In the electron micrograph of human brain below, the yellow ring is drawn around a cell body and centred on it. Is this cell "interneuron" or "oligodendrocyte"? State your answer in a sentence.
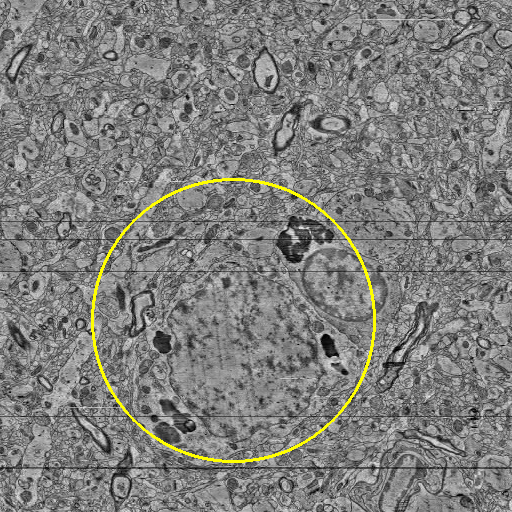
The cell in the middle of the ring is an interneuron.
